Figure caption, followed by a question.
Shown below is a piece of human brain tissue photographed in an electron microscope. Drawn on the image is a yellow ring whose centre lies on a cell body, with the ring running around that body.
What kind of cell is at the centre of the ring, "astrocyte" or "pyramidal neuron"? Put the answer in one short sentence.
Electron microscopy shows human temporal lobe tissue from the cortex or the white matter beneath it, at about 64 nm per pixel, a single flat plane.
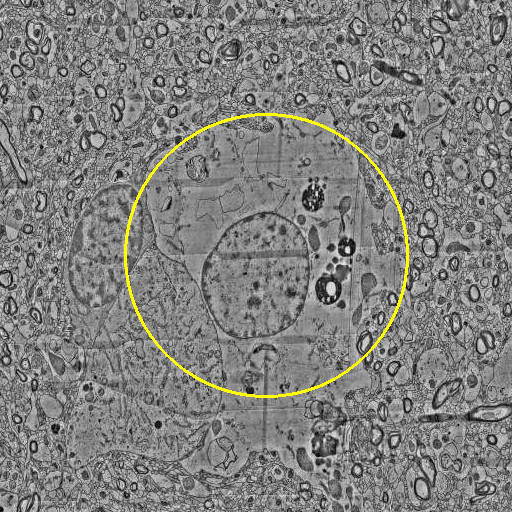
The ring marks the cell body of an astrocyte.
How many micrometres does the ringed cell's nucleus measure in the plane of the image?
About 8 by 7 micrometers, in this plane.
